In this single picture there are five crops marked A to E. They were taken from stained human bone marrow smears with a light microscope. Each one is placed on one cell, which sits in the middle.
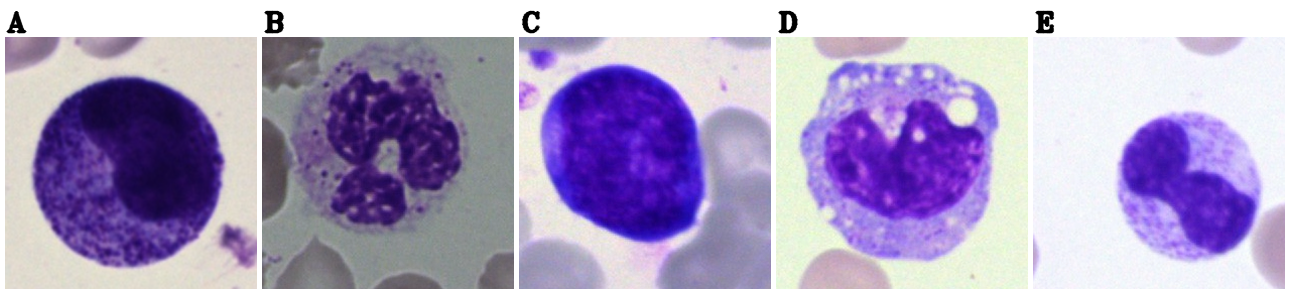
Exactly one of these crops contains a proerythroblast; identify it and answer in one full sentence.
Among the crops, only crop C contains a proerythroblast.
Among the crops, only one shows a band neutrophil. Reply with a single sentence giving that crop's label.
Crop E is the crop containing a band neutrophil.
